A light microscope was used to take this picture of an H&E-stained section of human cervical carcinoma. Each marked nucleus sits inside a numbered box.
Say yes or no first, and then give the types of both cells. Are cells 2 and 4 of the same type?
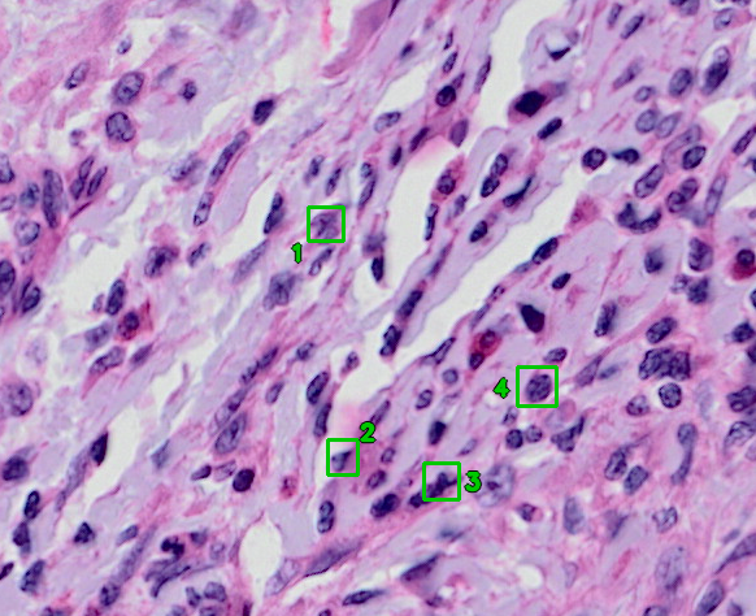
Yes, by cell type, cells 2 and 4 are both lymphocytes.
